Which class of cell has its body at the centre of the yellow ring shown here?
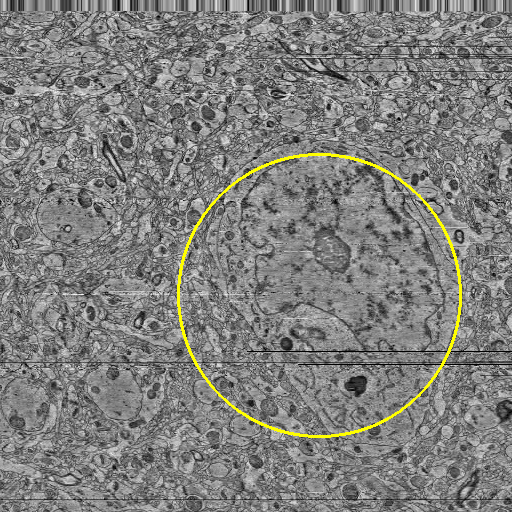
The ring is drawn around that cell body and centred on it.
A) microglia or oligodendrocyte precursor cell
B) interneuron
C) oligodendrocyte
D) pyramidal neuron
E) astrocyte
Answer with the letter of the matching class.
B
